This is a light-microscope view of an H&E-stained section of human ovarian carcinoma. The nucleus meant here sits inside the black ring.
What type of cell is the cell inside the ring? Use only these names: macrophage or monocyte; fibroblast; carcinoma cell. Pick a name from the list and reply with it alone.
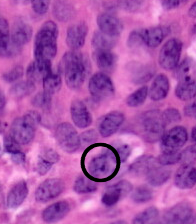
macrophage or monocyte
